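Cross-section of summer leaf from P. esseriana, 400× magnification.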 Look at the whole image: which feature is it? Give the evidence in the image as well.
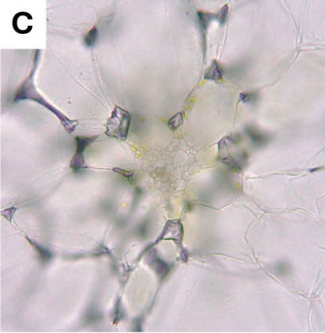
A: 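Vascular bundle. A central cluster of small narrow cells. The cluster is surrounded by much larger thin-walled cells.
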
